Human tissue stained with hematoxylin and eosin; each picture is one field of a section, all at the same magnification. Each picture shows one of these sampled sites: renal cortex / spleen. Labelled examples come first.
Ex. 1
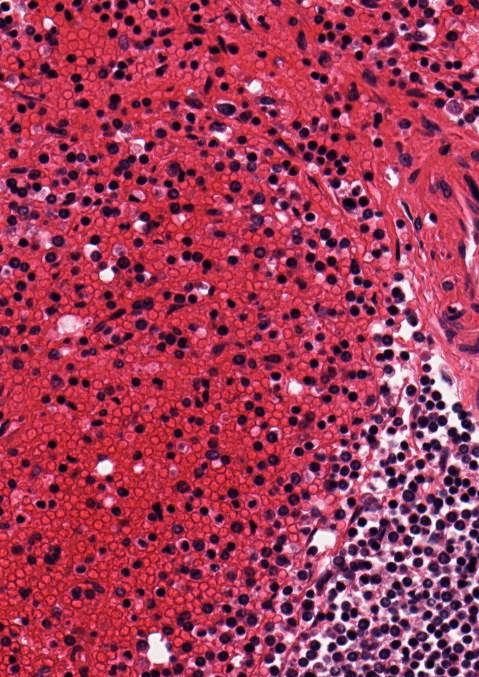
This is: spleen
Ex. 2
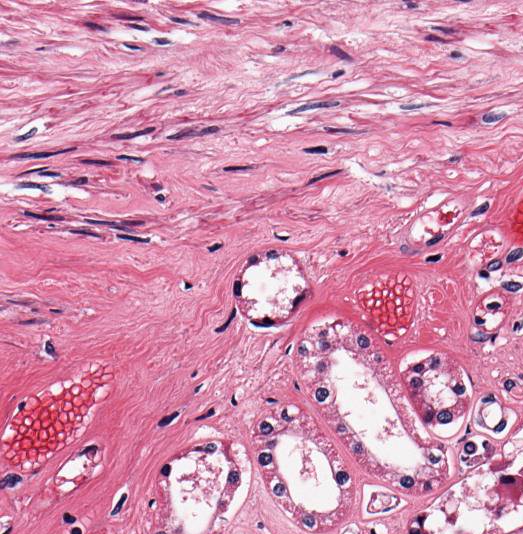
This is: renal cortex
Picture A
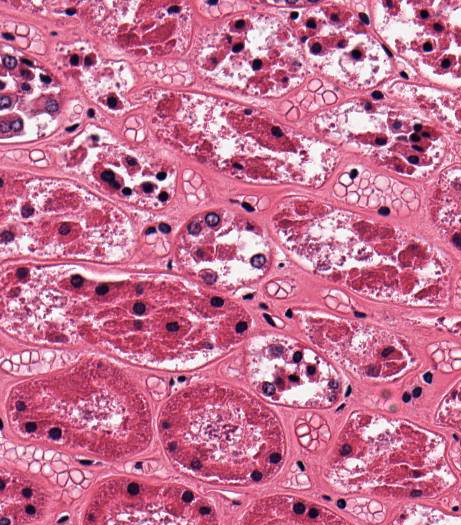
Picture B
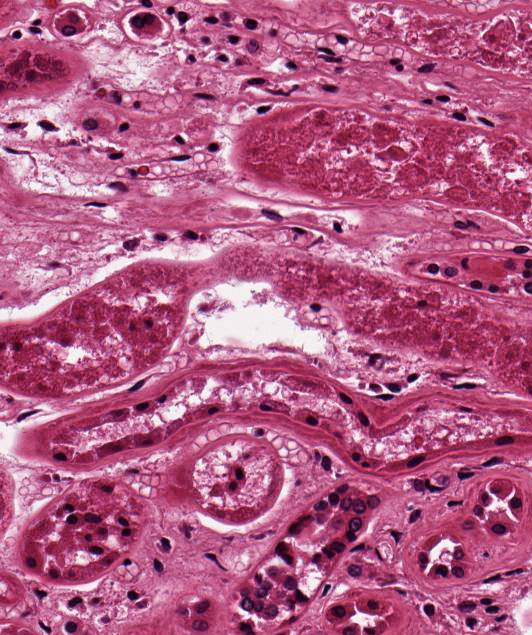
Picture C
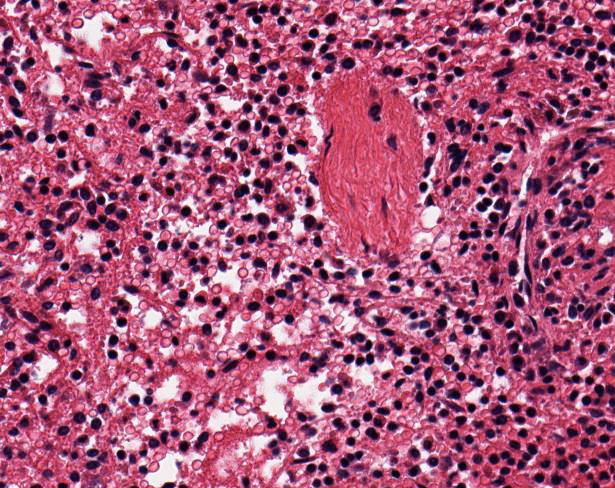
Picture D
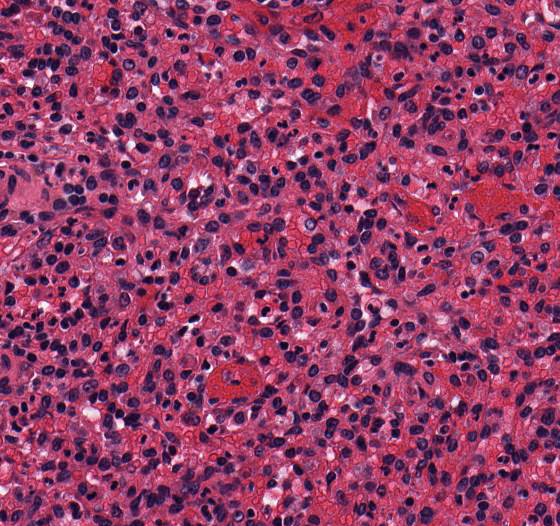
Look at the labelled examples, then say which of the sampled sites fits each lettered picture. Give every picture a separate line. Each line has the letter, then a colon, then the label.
A: renal cortex
B: renal cortex
C: spleen
D: spleen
